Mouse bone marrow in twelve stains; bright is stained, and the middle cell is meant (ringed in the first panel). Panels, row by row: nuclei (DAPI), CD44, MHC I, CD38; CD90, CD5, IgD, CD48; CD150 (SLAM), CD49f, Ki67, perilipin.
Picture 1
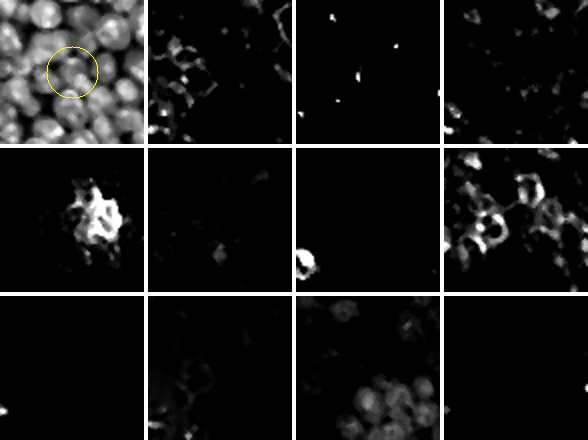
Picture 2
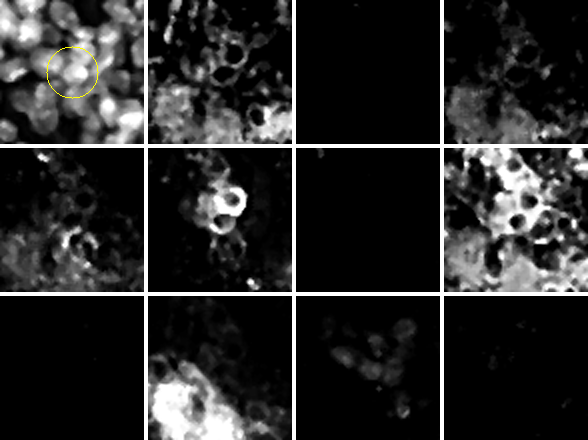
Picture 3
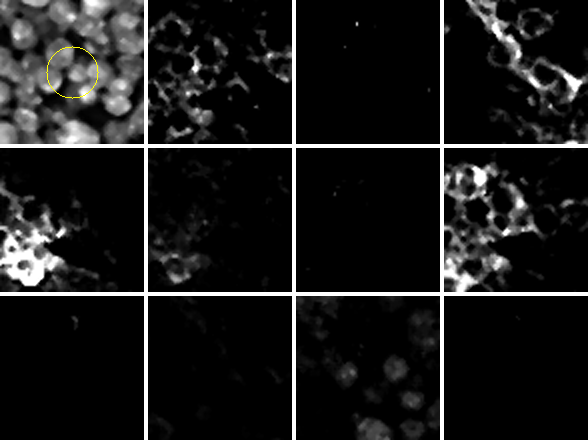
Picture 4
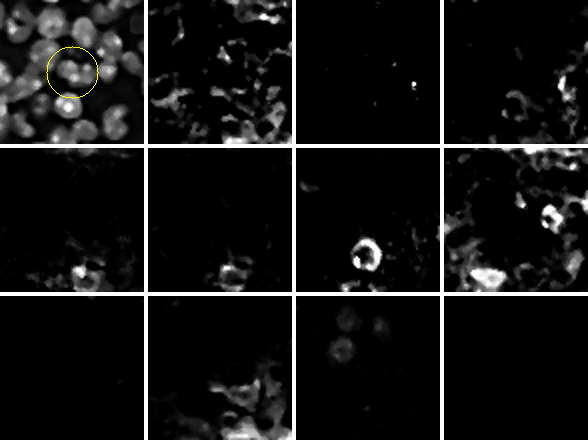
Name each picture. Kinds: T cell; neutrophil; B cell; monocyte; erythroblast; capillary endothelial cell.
Picture 1: erythroblast
Picture 2: T cell
Picture 3: capillary endothelial cell
Picture 4: neutrophil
